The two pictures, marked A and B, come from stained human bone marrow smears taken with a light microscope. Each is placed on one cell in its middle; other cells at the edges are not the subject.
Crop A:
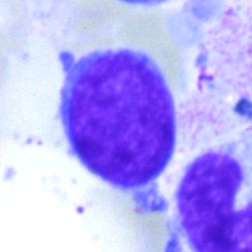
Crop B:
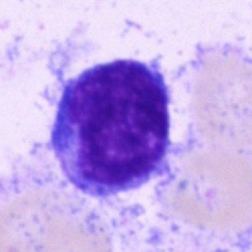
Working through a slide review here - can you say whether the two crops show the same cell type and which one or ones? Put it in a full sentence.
Yes, these two crops both show blasts.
